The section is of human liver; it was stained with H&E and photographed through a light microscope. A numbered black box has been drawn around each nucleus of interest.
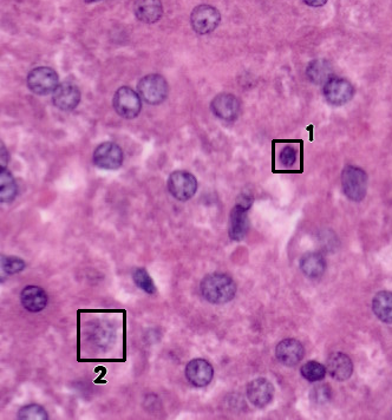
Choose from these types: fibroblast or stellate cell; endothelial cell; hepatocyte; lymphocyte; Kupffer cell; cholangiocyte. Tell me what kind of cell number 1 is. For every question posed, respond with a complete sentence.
The cell identified by the number 1 is a lymphocyte.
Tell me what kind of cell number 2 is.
The cell with the number 2 is a hepatocyte.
